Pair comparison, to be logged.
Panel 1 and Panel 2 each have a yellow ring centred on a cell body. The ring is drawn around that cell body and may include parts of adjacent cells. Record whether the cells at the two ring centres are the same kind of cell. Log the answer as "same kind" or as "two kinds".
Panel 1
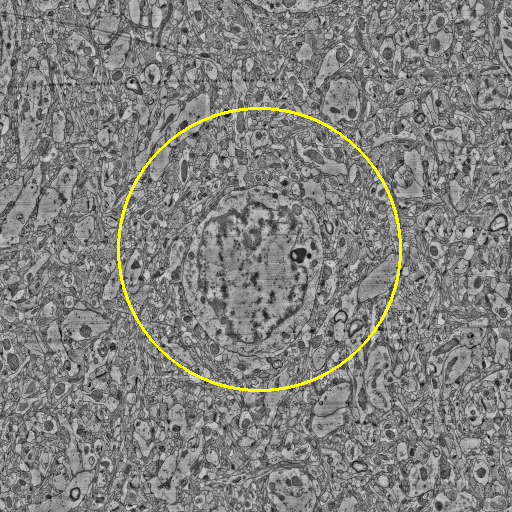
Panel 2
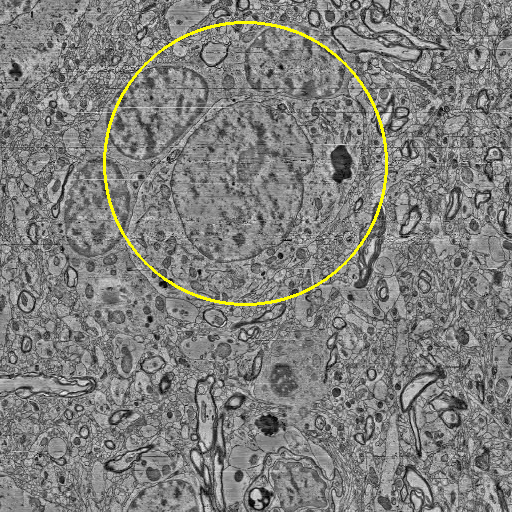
same kind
